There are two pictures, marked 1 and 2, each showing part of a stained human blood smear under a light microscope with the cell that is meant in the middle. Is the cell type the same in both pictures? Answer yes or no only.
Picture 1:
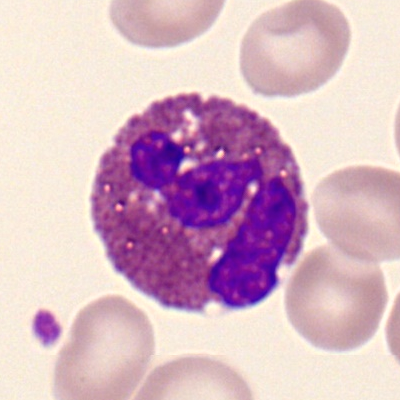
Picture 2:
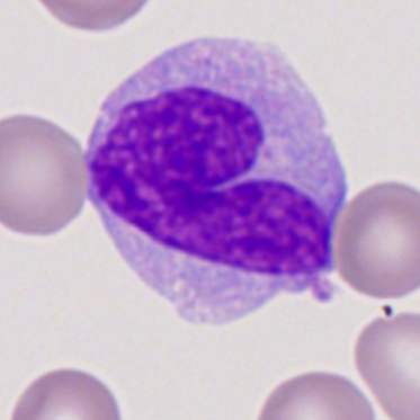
no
